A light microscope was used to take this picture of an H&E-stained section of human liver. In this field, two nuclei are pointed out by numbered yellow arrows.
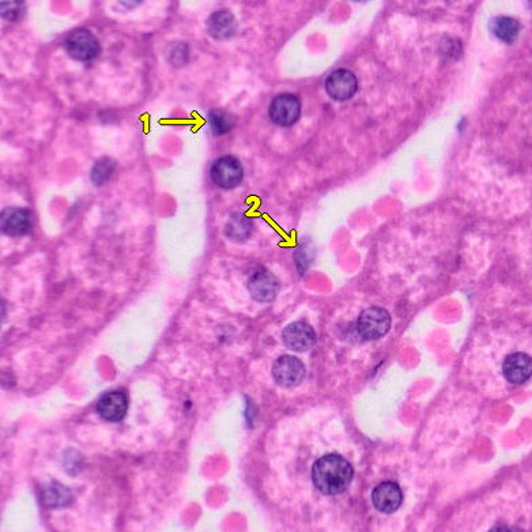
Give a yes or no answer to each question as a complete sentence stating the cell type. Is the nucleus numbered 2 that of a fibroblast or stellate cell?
No, cell 2 is not a fibroblast or stellate cell; it is a Kupffer cell.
